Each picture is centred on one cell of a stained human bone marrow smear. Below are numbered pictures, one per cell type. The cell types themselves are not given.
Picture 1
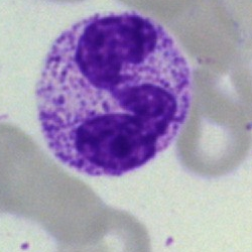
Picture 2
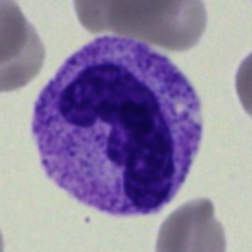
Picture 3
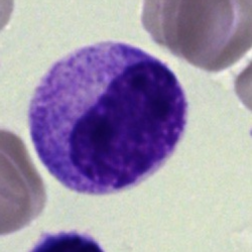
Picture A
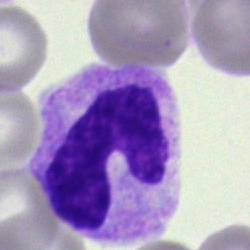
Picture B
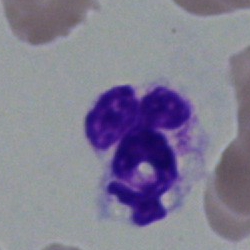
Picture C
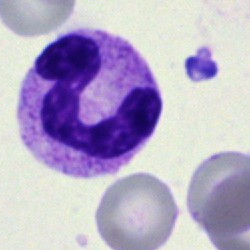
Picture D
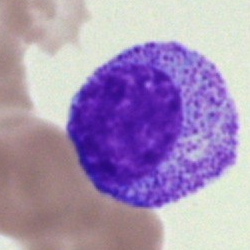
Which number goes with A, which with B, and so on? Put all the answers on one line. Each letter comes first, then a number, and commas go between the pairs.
A 2, B 1, C 1, D 3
